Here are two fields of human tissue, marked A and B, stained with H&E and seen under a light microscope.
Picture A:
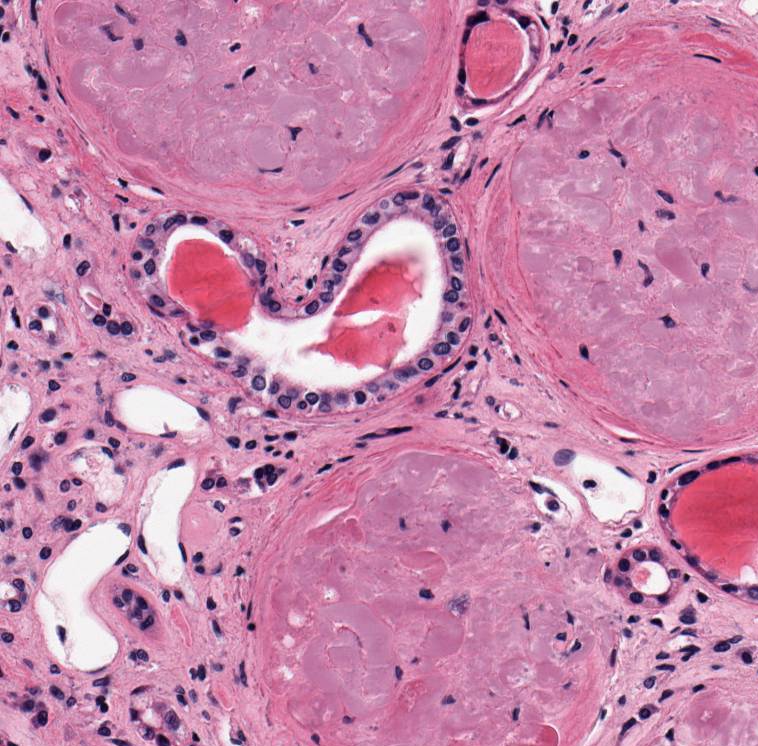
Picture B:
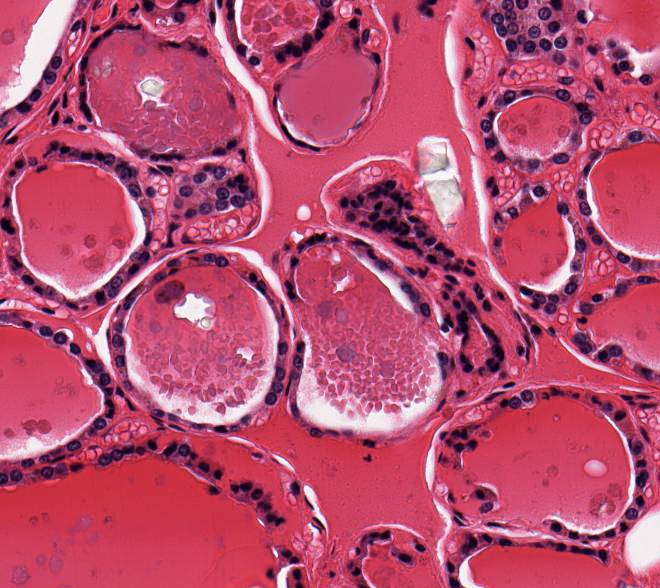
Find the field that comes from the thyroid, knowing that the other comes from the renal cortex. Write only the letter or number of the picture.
B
